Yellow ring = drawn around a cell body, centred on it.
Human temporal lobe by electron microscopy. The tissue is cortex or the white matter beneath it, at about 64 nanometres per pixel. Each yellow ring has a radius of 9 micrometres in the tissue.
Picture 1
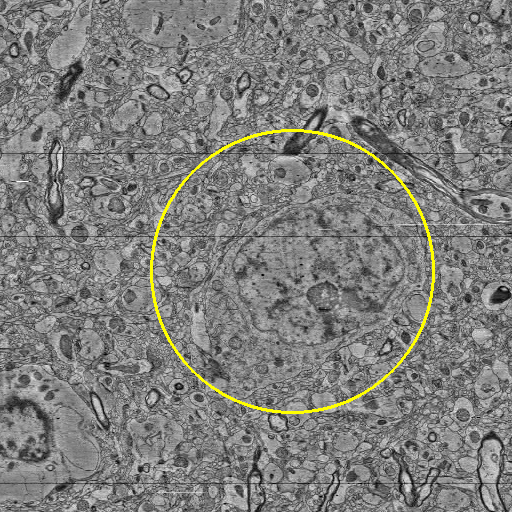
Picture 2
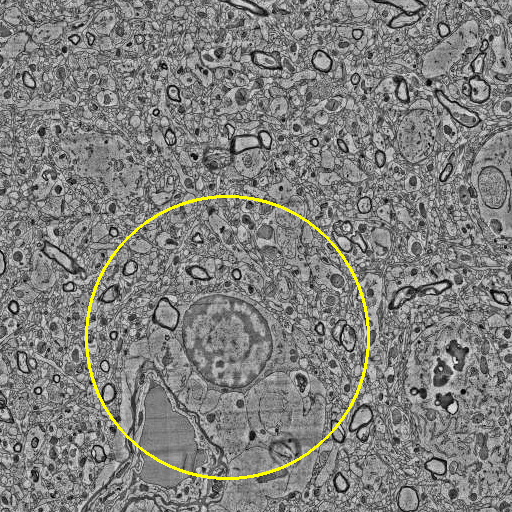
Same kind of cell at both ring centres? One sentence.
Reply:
No, they are two kinds of cell.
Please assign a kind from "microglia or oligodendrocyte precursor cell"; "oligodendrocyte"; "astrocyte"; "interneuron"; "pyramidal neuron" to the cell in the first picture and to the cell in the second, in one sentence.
In the first picture we have an interneuron, and in the second, an oligodendrocyte.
